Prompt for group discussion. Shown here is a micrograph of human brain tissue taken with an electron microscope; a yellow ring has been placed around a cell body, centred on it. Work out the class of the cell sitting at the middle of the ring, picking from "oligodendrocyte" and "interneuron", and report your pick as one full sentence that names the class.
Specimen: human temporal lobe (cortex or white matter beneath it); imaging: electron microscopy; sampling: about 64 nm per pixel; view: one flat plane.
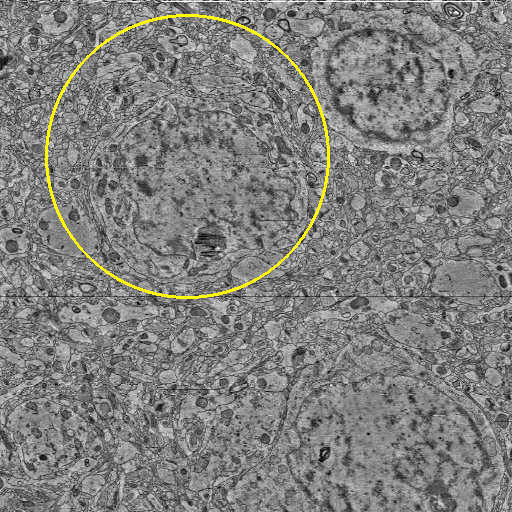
The cell sitting at the middle of the yellow ring is an interneuron.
